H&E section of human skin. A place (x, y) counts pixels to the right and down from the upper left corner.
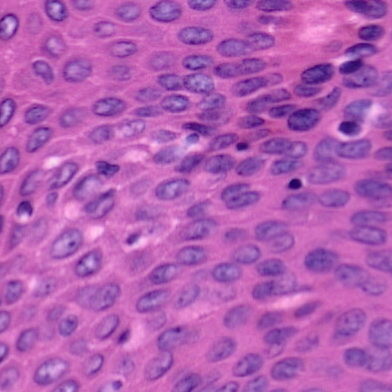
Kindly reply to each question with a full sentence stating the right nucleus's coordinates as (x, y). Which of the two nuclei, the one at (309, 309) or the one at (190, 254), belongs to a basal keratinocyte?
The nucleus found at (309, 309) belongs to a basal keratinocyte.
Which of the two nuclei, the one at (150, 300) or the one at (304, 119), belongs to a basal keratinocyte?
Of these two nuclei, only the one at (304, 119) belongs to a basal keratinocyte.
